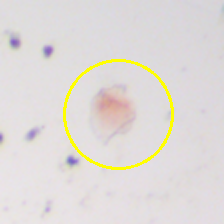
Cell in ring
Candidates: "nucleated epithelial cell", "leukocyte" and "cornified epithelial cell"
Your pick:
cornified epithelial cell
